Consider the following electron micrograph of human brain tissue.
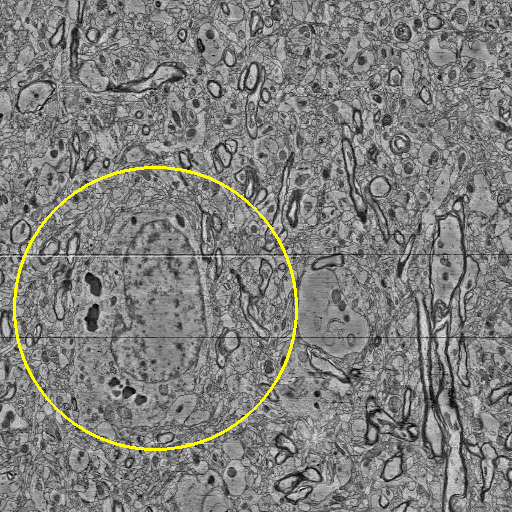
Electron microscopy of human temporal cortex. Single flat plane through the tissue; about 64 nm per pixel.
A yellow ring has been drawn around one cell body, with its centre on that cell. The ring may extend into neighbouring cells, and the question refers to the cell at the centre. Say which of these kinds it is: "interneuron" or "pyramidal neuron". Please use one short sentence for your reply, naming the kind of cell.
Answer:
The centre of the ring falls on an interneuron.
